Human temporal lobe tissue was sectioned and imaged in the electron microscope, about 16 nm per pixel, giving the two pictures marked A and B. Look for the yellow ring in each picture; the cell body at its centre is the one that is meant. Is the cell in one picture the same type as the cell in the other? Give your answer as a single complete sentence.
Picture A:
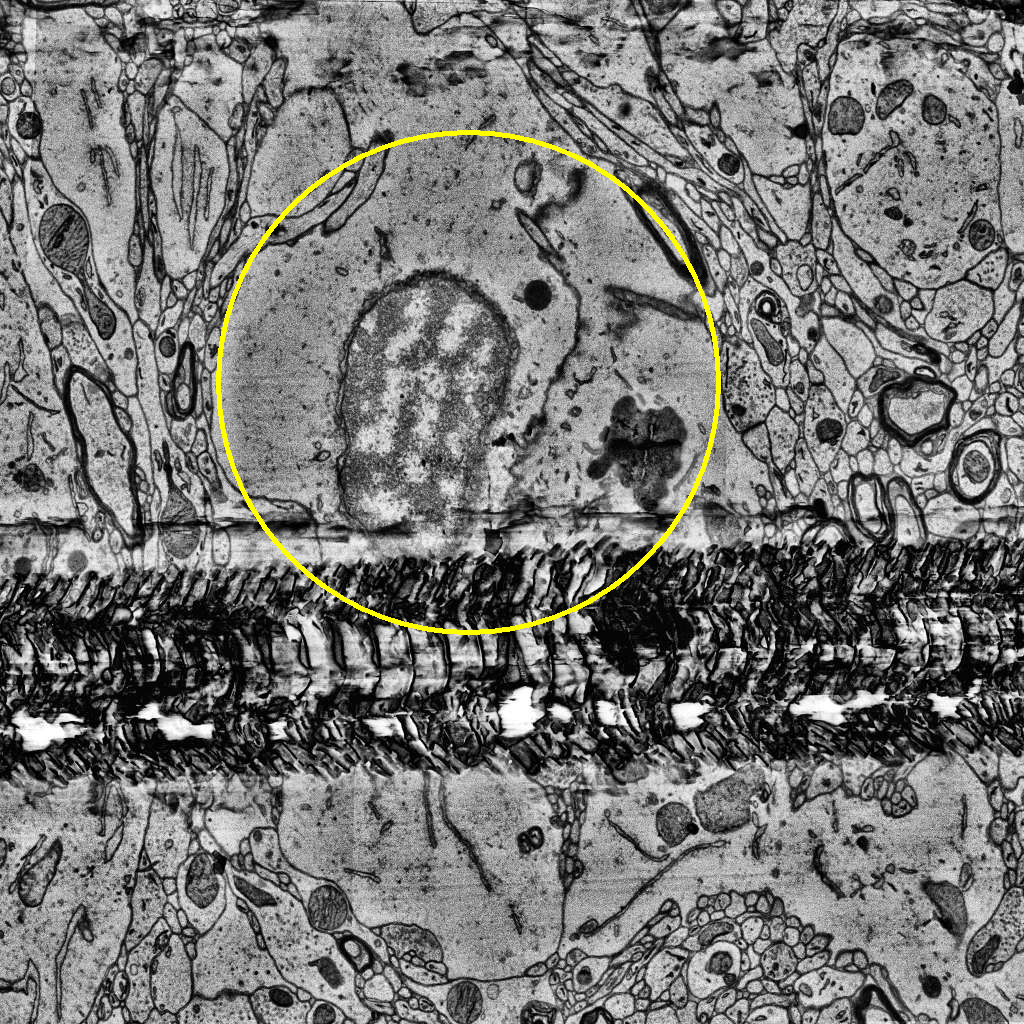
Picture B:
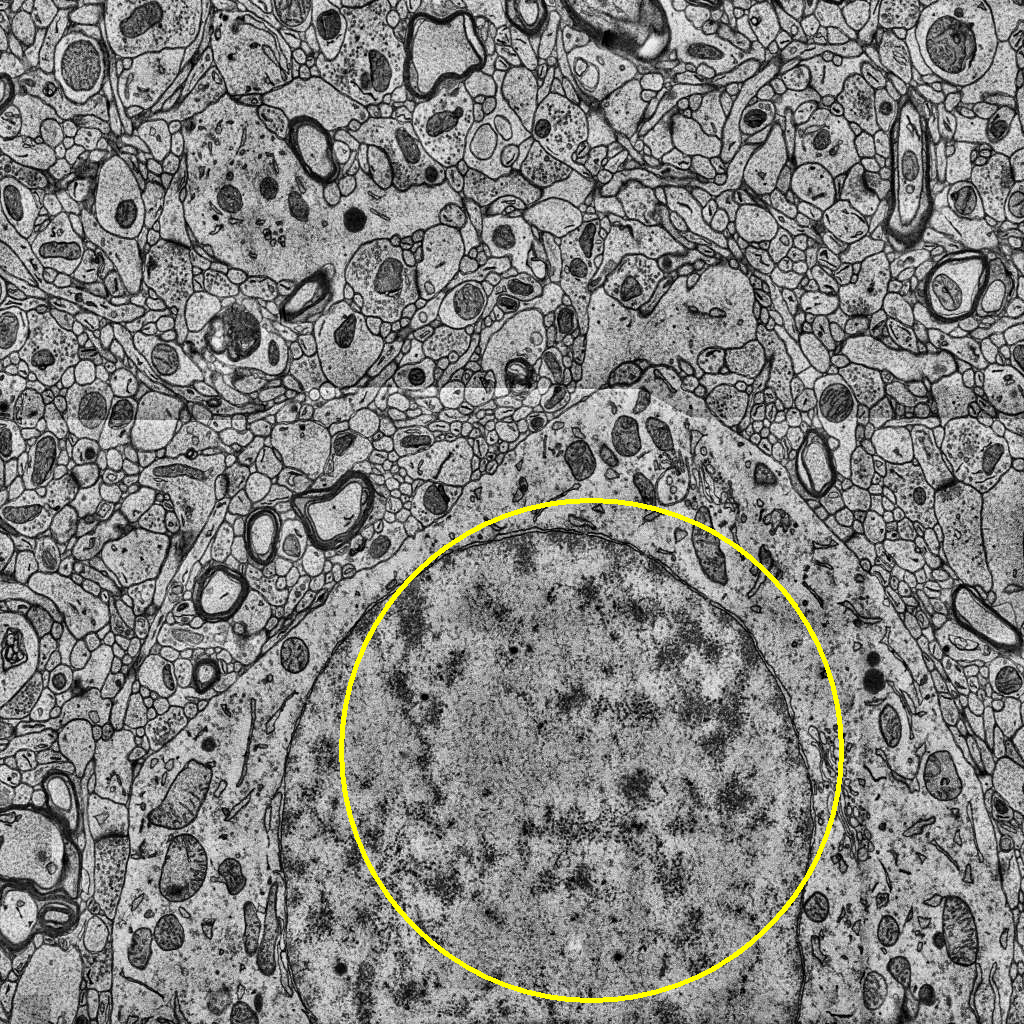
No, they differ: the cell is an astrocyte in picture A and an interneuron in picture B.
